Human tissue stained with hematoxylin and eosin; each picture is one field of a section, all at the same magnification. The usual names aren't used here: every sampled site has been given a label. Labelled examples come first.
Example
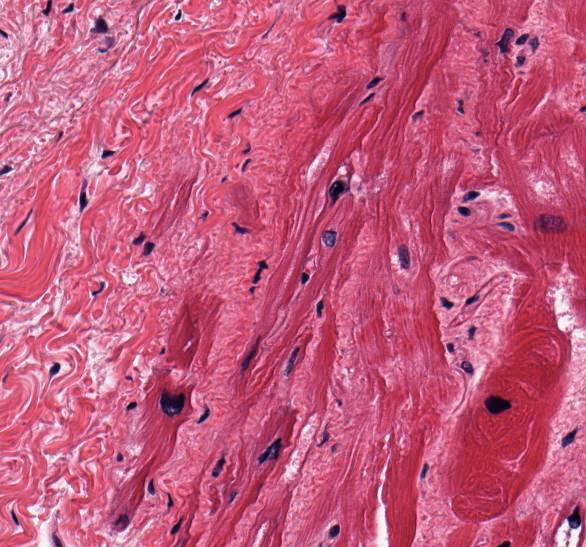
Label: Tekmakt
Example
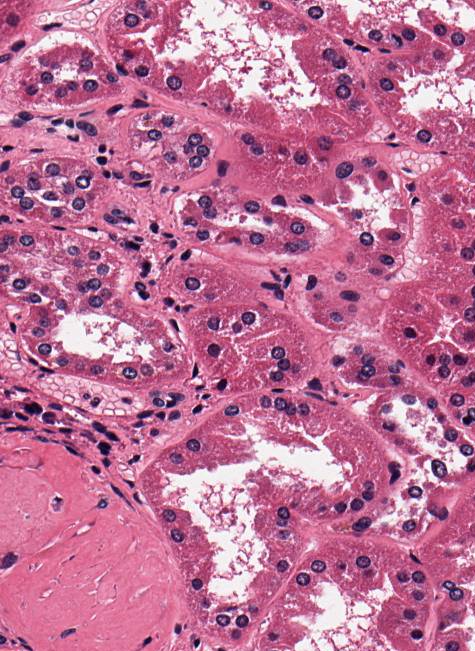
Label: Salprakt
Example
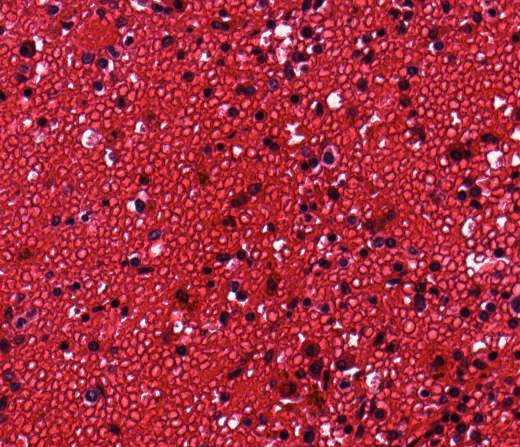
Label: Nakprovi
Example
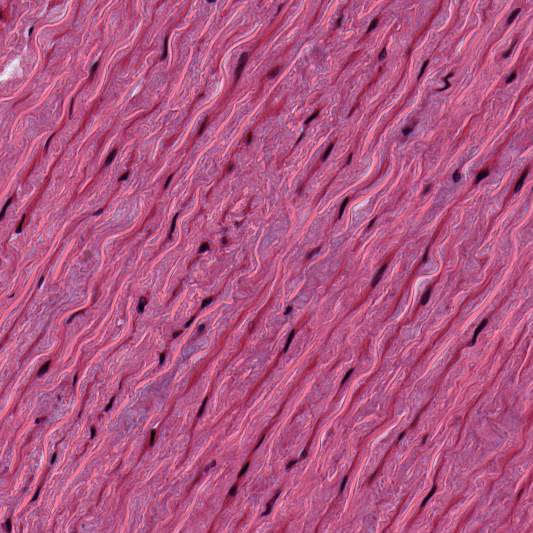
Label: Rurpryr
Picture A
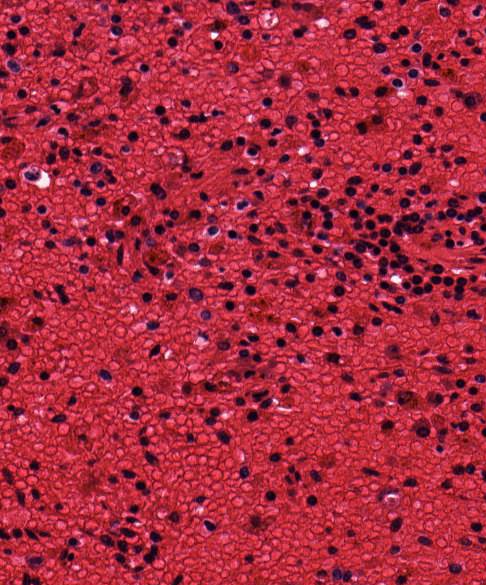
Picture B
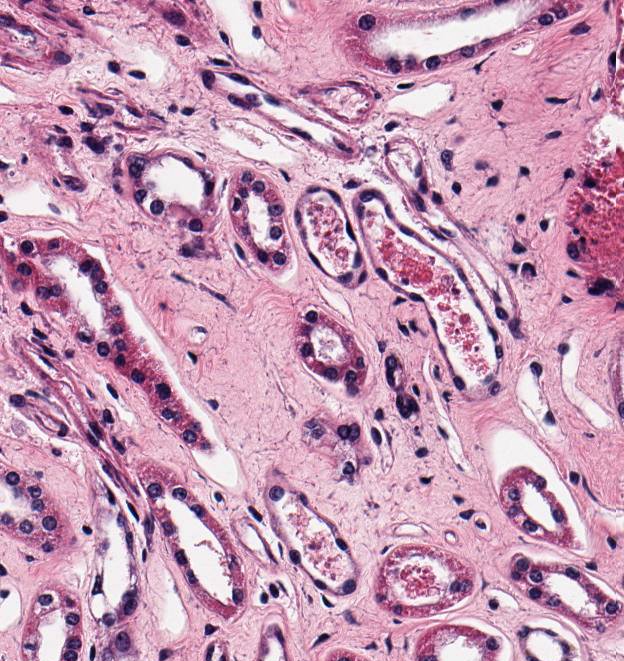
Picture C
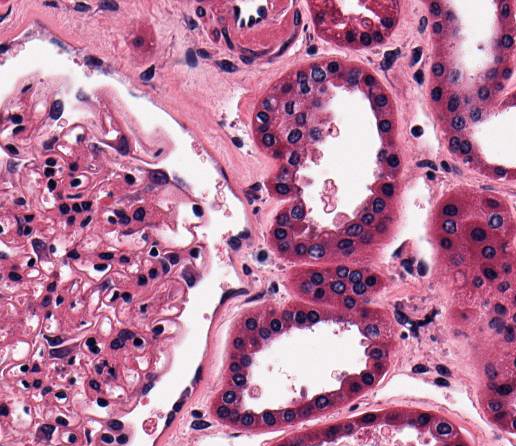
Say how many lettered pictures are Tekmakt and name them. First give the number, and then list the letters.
0, none of them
